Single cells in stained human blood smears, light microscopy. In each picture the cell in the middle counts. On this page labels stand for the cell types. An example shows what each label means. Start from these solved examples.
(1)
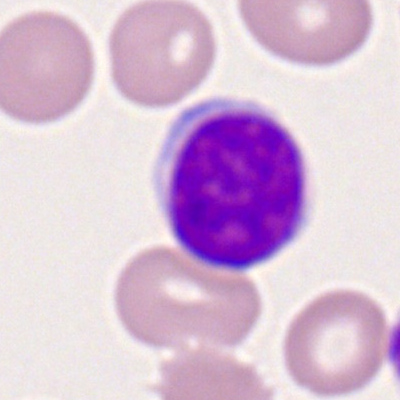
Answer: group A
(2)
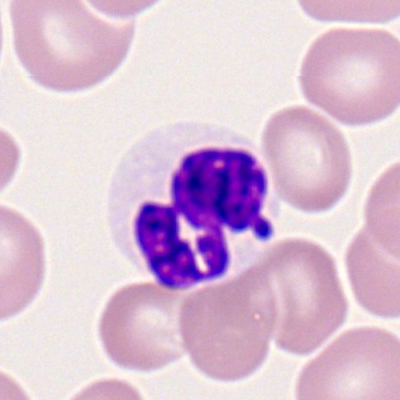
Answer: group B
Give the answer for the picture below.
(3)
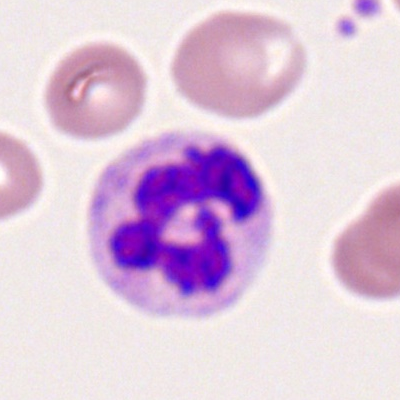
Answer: group B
